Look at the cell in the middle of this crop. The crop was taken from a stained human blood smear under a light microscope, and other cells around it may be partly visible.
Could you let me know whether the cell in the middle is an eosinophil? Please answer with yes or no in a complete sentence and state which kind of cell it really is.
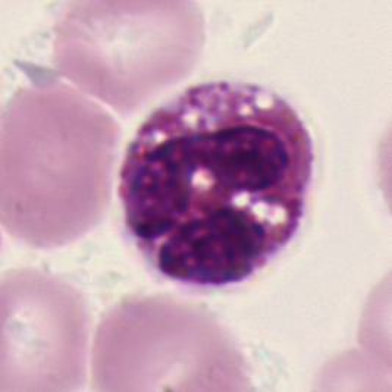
Yes, the cell shown centrally is an eosinophil.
